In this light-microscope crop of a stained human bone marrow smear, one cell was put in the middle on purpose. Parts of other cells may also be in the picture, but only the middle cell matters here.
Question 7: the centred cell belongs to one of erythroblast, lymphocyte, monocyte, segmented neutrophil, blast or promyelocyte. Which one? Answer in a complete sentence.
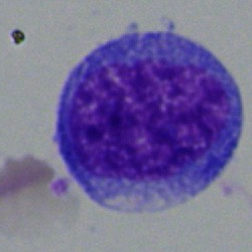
The single cell at the center of the crop is a blast.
